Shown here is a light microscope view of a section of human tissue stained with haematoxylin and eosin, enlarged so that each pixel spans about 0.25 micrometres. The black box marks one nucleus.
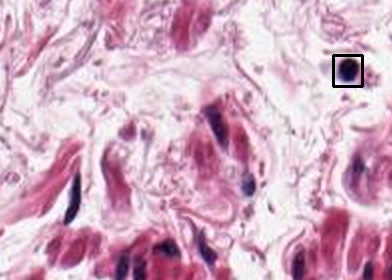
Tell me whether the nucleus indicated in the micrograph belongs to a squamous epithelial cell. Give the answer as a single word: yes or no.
no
